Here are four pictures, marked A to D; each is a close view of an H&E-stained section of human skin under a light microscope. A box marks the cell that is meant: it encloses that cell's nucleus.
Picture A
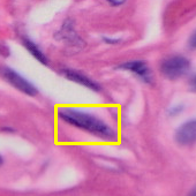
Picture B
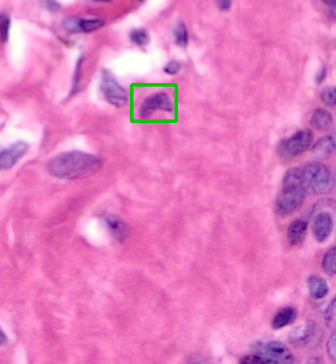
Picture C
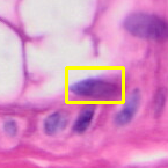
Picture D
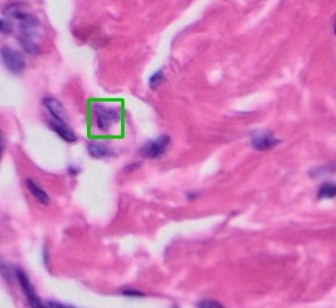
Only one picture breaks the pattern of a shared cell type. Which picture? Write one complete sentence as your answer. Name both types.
The others show endothelial cells, but picture B shows a fibroblast.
